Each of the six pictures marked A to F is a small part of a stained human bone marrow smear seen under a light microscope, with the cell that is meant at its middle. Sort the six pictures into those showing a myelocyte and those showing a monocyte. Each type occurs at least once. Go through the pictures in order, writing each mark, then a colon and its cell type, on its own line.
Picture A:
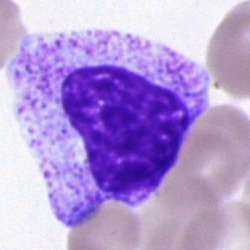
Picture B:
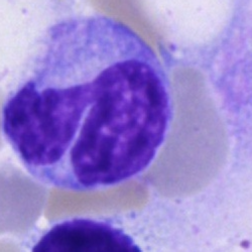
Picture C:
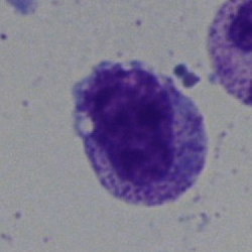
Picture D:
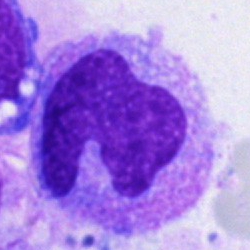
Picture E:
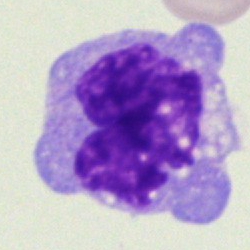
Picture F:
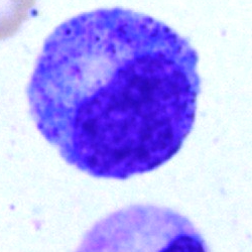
A: myelocyte
B: monocyte
C: myelocyte
D: monocyte
E: monocyte
F: myelocyte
